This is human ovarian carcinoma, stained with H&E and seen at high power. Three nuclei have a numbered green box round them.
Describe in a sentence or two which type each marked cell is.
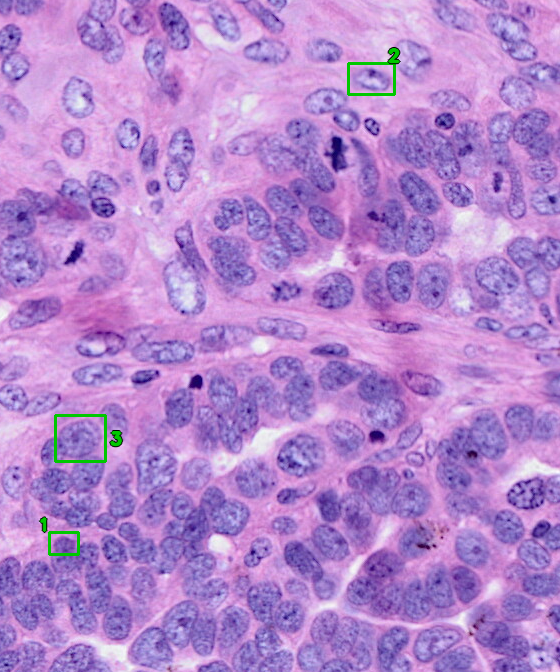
Cell 1 is a carcinoma cell, cell 2 is a fibroblast and cell 3 is a carcinoma cell.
